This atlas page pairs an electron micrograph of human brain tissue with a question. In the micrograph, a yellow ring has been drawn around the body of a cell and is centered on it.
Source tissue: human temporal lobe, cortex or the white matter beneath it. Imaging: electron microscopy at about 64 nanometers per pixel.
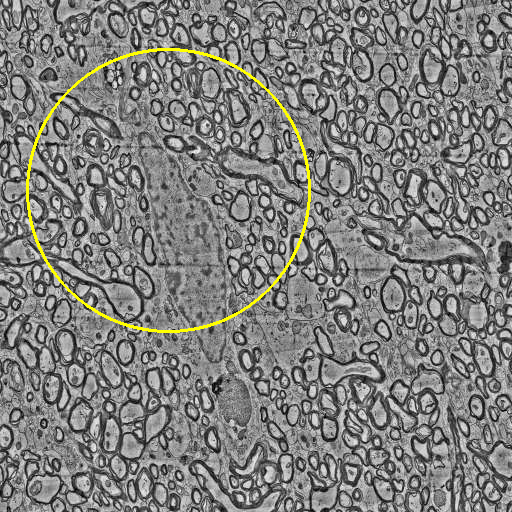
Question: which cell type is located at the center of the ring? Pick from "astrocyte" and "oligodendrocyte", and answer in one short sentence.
Located at the center of the ring is an astrocyte.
